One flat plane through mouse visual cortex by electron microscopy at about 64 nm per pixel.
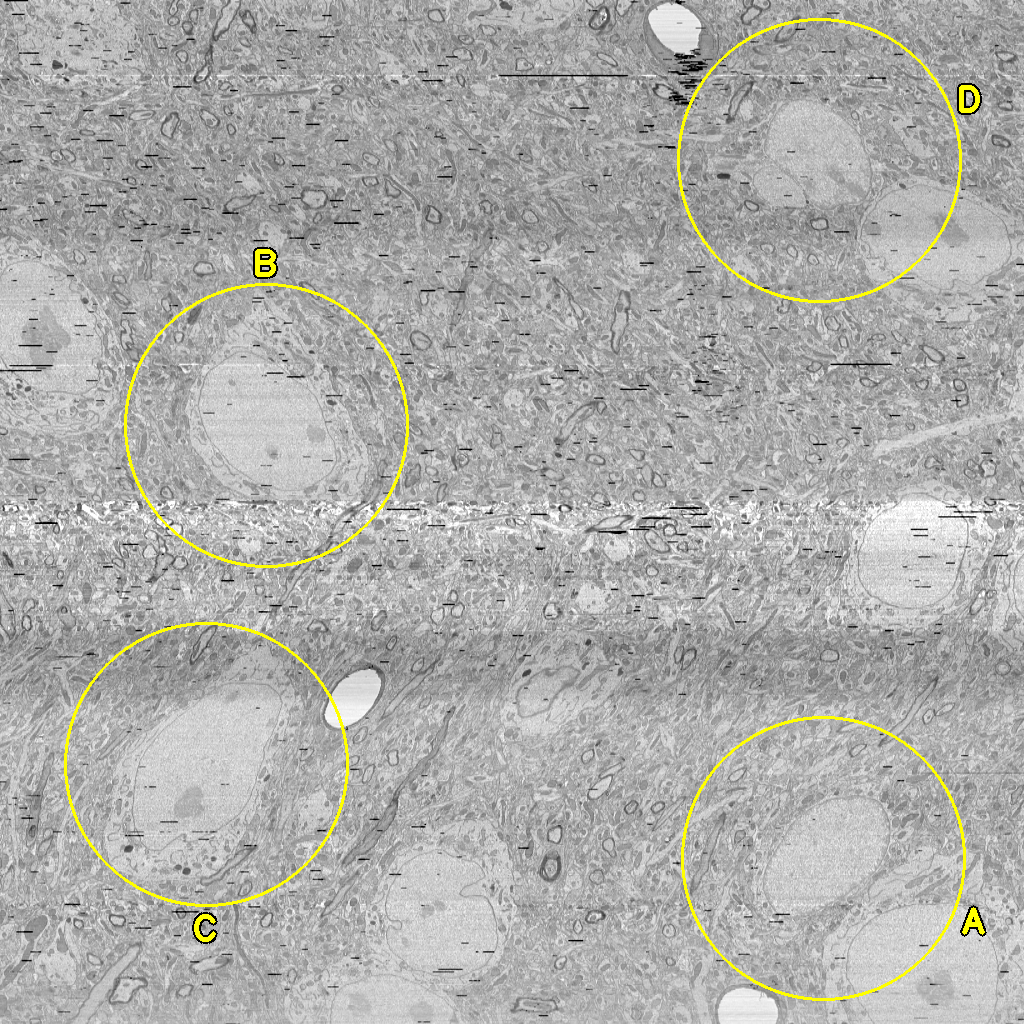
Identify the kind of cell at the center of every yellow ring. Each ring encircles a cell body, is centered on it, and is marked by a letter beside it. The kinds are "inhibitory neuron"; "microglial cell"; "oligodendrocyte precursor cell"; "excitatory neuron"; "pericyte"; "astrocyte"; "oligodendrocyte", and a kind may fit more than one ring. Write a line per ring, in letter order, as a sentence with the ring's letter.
The cell centered in ring A is an astrocyte.
The cell centered in ring B is an excitatory neuron.
The cell centered in ring C is an excitatory neuron.
The cell centered in ring D is an astrocyte.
